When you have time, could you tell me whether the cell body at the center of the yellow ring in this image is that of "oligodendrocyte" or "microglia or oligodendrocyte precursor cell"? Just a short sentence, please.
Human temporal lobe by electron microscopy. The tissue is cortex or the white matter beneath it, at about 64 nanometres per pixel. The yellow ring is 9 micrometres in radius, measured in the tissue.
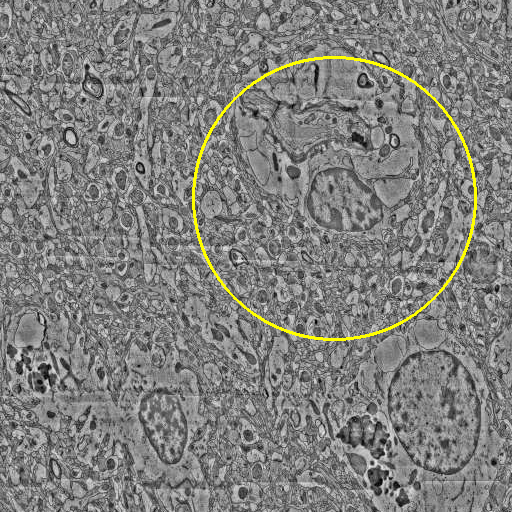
The cell body at the center of the ring is that of a microglial cell or oligodendrocyte precursor cell.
